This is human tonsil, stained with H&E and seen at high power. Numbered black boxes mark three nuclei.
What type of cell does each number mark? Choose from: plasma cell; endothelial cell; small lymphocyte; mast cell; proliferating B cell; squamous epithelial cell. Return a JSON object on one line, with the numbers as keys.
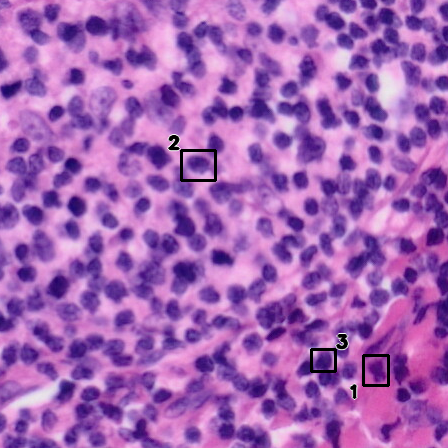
{"1": "endothelial cell", "2": "proliferating B cell", "3": "small lymphocyte"}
